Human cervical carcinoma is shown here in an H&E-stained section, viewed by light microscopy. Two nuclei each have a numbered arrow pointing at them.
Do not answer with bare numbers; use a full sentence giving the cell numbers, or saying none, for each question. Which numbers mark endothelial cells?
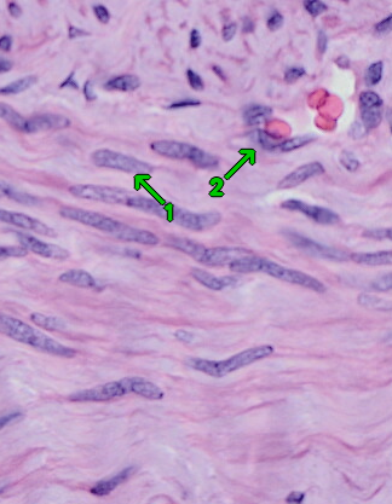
Cell 2 is the one numbered cell that is an endothelial cell.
